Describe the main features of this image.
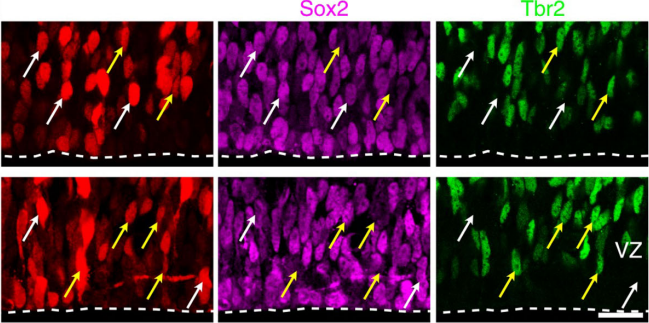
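A dashed line at the bottom marks the ventricular surface. The red images show densely packed, elongated cells with oval nuclei, many oriented radially toward the surface. Magenta nuclear staining fills most nuclei throughout the zone. Green nuclear staining is sparser and appears in a subset of nuclei, mostly away from the ventricular surface. Arrows of two colours mark red cells: some have magenta but no green nuclei, others have green nuclei.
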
